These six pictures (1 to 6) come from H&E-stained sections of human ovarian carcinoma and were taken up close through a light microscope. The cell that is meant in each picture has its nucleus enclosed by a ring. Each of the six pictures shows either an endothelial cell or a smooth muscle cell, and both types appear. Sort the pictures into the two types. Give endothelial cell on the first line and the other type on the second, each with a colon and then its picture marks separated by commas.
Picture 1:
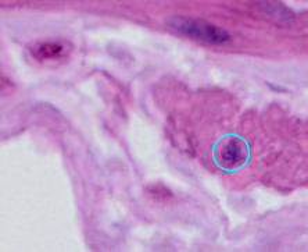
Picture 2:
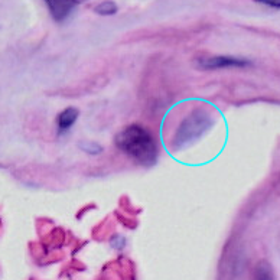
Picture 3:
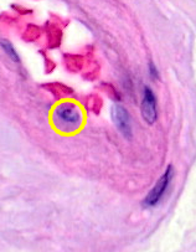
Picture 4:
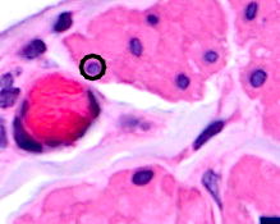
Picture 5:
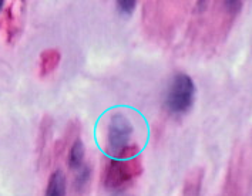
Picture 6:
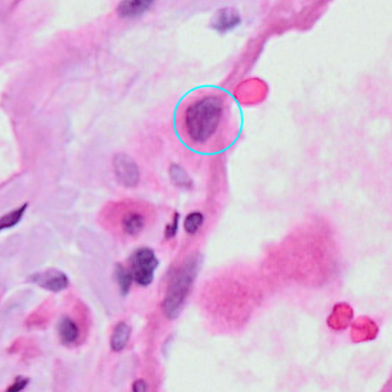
endothelial cell: 2, 3, 5, 6
smooth muscle cell: 1, 4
